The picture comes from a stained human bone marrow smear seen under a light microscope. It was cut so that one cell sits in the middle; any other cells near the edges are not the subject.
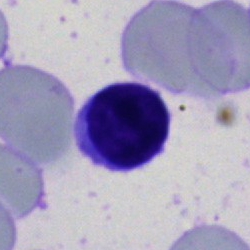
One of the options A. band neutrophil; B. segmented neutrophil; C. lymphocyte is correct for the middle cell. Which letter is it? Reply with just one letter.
C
